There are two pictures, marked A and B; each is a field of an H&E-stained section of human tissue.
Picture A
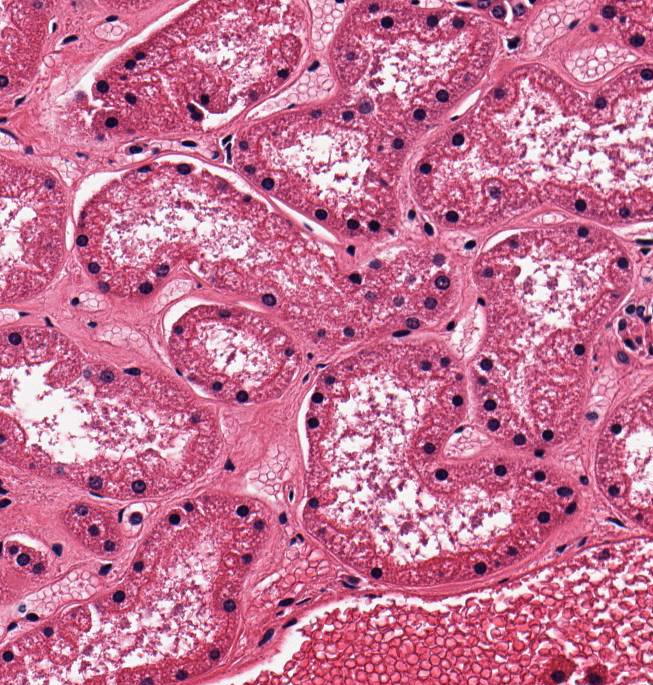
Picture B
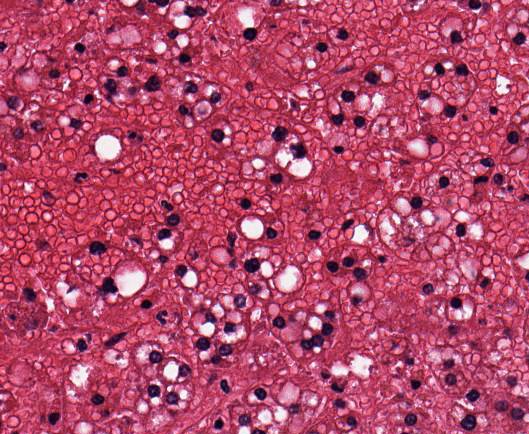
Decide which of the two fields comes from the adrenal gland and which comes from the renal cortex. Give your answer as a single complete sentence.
Picture B comes from the adrenal gland, while picture A comes from the renal cortex.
